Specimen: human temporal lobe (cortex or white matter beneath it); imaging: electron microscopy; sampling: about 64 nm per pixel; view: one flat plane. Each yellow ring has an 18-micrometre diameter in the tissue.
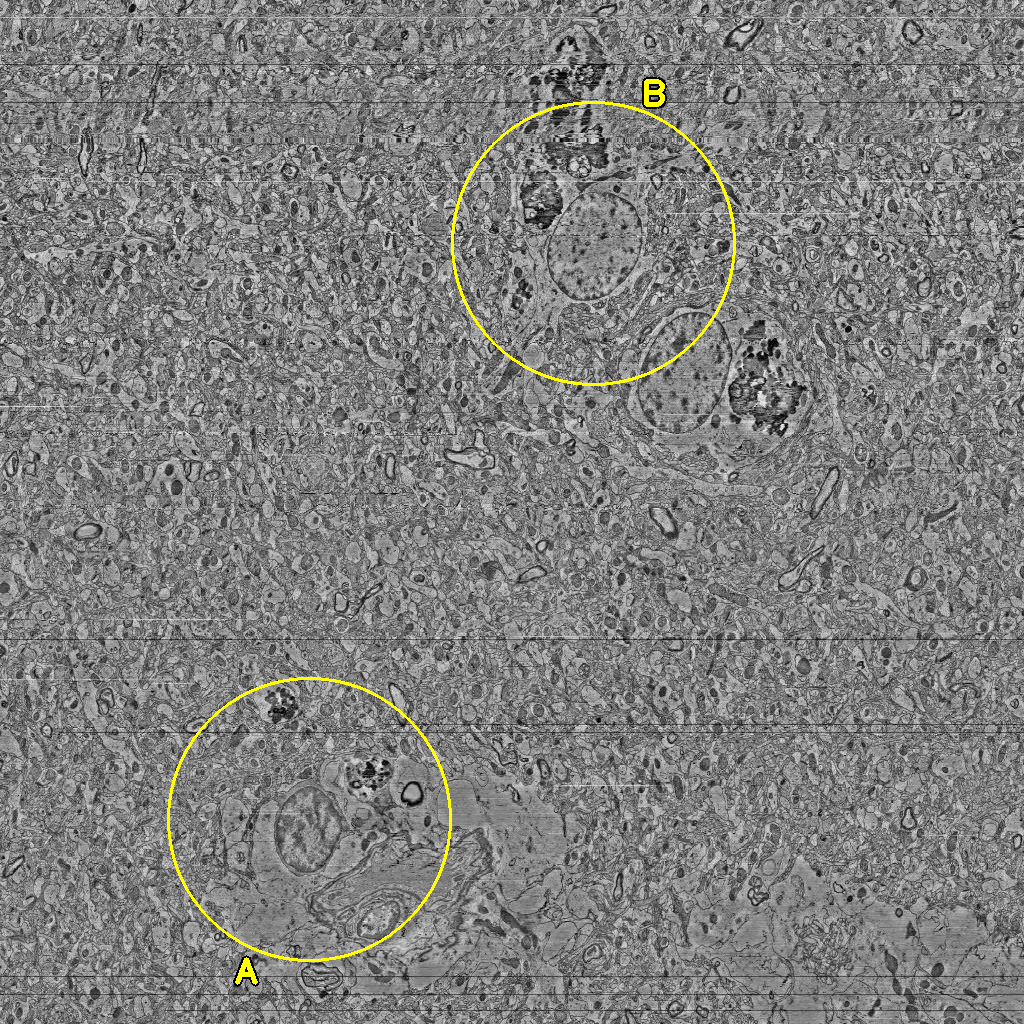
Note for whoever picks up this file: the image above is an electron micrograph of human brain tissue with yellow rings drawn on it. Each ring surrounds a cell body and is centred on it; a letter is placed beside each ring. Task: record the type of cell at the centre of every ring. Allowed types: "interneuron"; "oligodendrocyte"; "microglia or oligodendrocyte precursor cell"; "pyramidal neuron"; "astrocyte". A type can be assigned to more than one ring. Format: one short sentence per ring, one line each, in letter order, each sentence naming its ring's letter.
The ring marked A is centred on an oligodendrocyte.
The ring marked B is centred on an astrocyte.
